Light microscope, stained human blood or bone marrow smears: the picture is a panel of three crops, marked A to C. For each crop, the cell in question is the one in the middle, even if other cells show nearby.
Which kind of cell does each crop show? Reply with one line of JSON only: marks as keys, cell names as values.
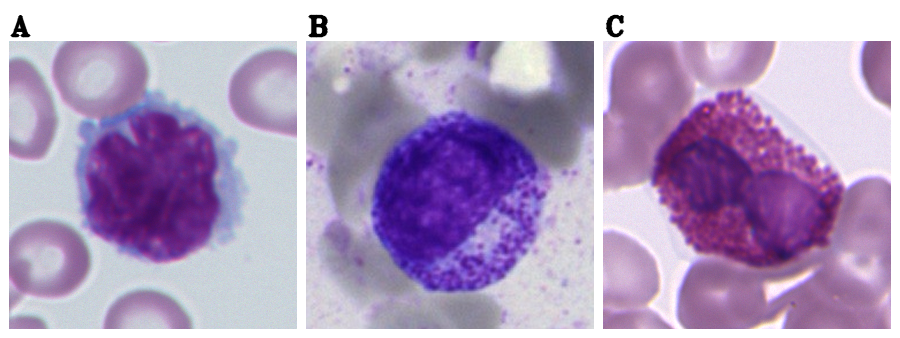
{"A": "blast", "B": "myelocyte", "C": "eosinophil"}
